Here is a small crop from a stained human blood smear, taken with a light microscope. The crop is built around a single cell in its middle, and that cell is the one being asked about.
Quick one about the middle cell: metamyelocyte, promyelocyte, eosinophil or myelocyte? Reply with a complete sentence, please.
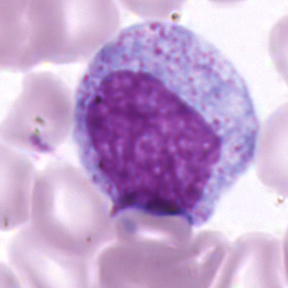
The cell around which this crop is centred is a promyelocyte.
